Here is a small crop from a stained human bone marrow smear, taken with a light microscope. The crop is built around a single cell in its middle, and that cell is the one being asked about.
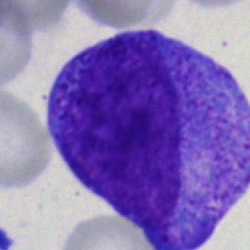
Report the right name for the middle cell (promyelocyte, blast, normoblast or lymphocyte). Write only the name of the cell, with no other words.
promyelocyte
